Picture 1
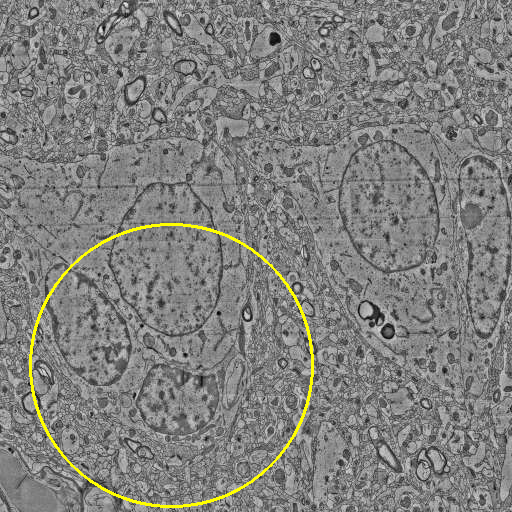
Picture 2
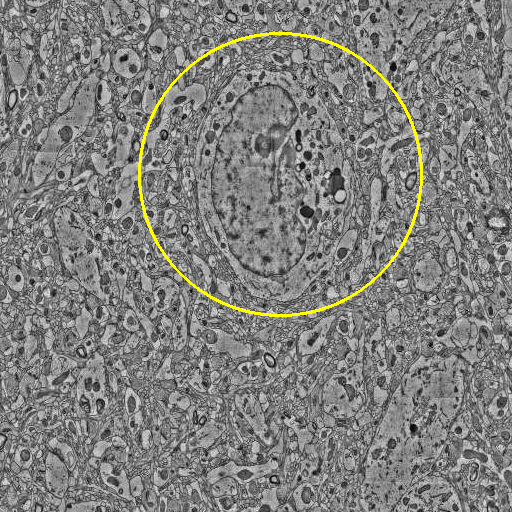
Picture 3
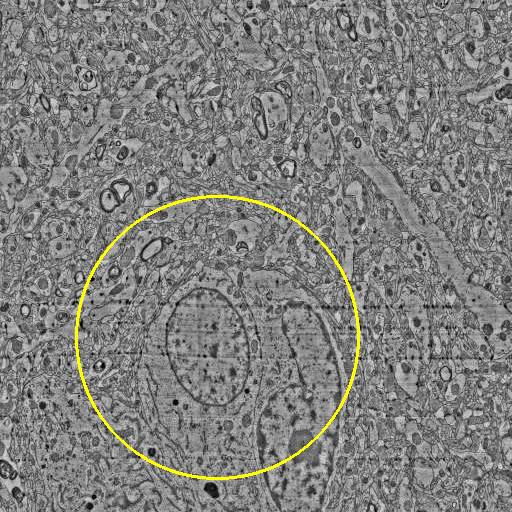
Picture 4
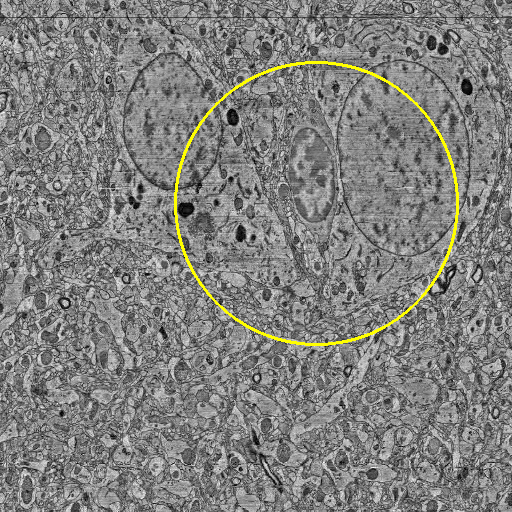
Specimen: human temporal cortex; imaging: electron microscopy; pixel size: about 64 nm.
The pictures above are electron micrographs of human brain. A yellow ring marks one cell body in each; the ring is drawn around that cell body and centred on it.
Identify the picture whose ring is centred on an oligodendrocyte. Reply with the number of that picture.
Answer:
4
